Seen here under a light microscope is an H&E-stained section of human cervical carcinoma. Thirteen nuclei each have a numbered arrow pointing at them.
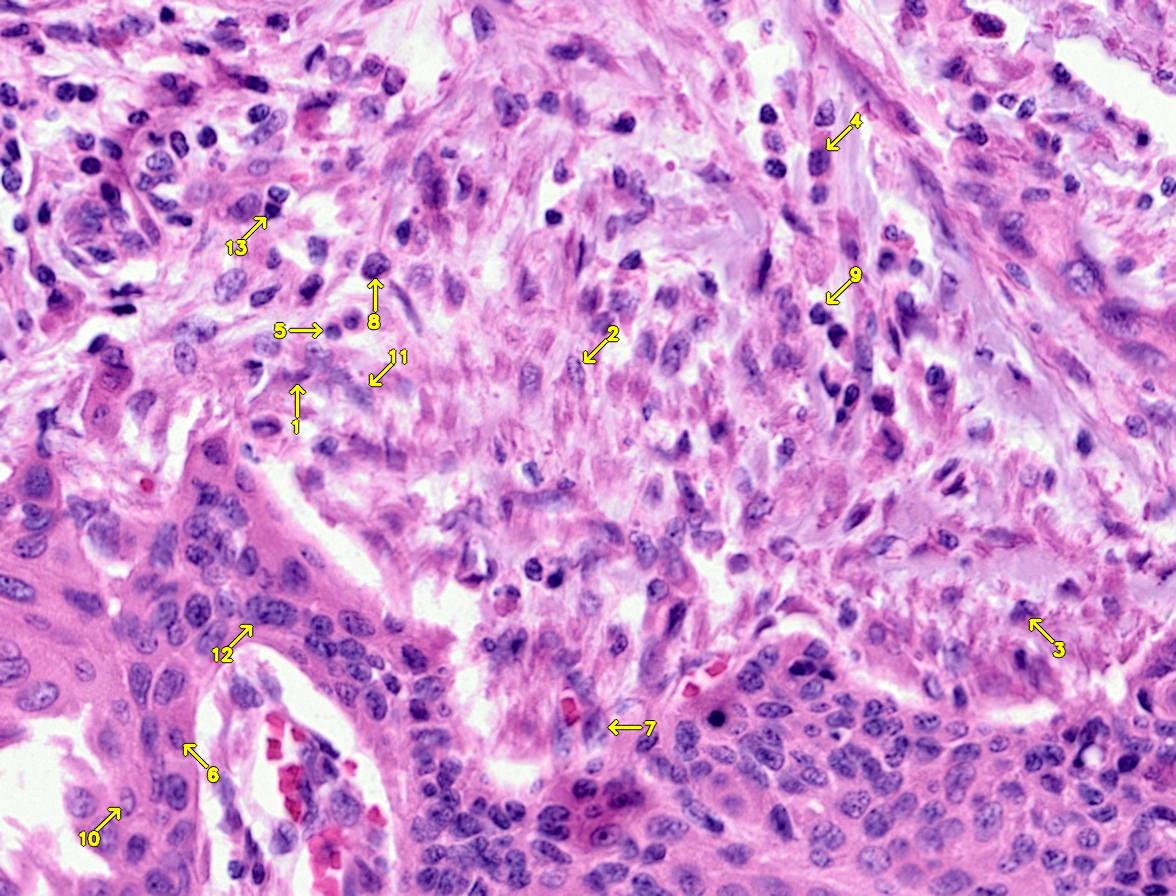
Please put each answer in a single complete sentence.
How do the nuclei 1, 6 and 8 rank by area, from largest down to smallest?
Largest first, the order by area is 8, 1, 6.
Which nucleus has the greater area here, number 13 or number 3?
The larger nucleus is 3, at roughly 1.5 times the area of 13.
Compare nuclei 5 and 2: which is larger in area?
Nucleus 2 is the larger one, covering about 2 times the area of nucleus 5.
